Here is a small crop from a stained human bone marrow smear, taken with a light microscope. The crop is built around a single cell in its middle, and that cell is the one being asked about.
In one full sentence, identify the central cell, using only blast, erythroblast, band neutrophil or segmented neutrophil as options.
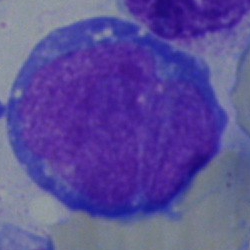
The centered cell in this crop is a blast.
